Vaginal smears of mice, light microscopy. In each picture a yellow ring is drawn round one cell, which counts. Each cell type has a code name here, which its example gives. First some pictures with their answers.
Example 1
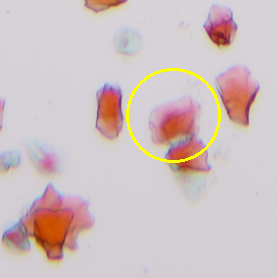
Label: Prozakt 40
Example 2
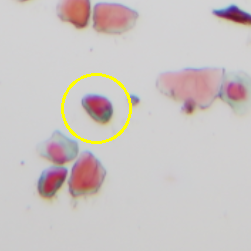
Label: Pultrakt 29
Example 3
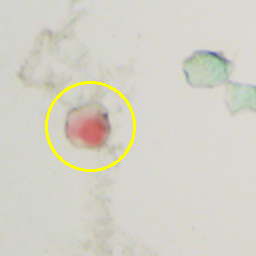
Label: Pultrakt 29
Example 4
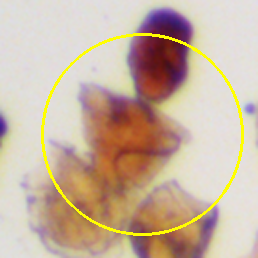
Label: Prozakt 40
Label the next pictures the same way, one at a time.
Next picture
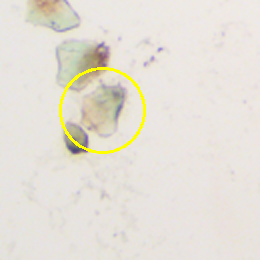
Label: Prozakt 40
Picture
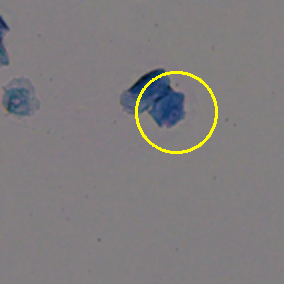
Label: Prozakt 40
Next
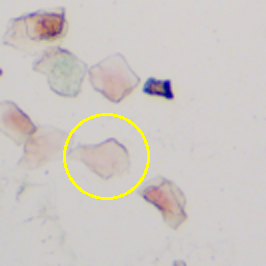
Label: Prozakt 40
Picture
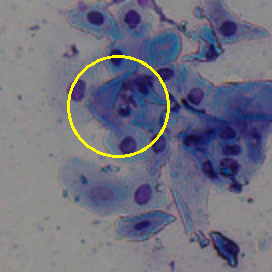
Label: Pultrakt 29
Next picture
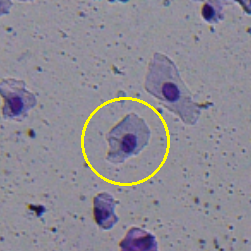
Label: Pultrakt 29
